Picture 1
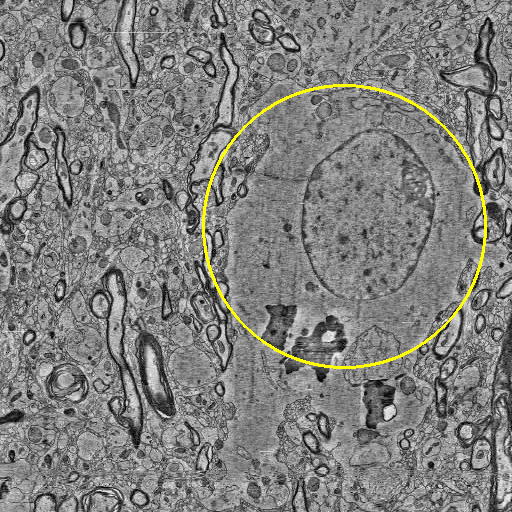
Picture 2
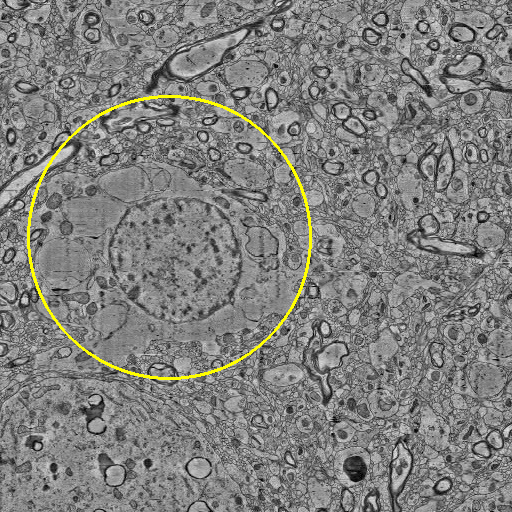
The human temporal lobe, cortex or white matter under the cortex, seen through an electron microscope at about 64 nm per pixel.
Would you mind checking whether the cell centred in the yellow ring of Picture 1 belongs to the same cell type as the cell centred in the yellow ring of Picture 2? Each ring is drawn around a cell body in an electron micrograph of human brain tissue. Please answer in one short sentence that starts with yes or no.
Yes, both cells are of the same type.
